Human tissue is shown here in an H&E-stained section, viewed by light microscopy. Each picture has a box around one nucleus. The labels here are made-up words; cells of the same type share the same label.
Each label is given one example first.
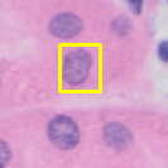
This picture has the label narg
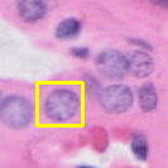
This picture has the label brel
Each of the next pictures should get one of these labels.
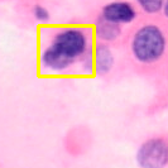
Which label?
brel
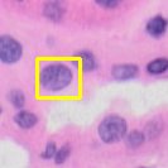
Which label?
brel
